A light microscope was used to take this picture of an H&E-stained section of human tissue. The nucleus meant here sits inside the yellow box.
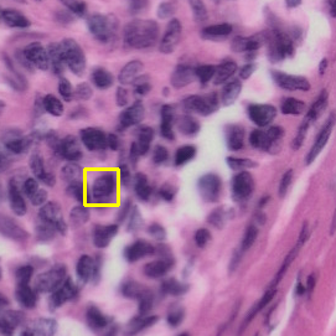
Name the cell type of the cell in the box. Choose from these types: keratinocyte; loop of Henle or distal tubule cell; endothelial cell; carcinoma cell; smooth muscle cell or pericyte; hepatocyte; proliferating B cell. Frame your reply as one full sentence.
At the level of cell identity, the cell in the box is a proliferating B cell.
